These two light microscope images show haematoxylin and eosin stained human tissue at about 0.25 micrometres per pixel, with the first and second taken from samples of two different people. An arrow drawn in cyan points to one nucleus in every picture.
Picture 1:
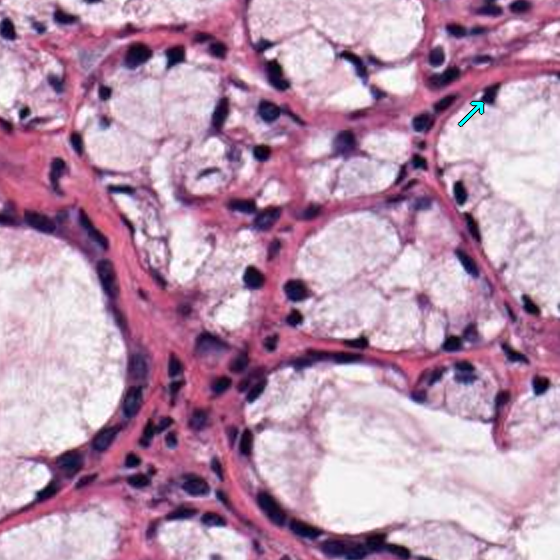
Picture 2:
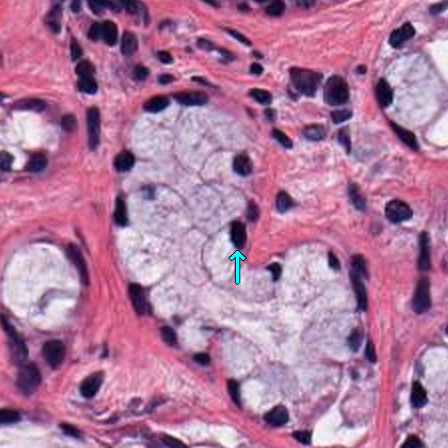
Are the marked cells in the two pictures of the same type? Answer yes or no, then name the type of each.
Yes, both are mucous gland cells.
